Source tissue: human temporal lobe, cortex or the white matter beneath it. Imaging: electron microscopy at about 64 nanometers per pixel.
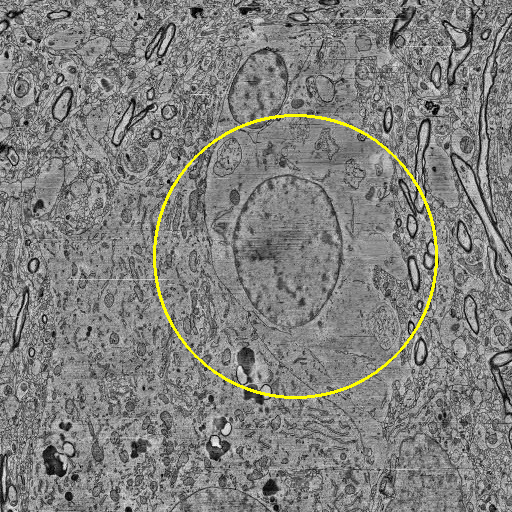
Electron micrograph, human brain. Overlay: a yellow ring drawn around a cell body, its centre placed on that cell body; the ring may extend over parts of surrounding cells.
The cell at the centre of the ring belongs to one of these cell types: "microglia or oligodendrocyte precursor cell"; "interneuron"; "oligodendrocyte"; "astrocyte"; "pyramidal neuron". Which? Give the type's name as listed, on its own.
astrocyte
